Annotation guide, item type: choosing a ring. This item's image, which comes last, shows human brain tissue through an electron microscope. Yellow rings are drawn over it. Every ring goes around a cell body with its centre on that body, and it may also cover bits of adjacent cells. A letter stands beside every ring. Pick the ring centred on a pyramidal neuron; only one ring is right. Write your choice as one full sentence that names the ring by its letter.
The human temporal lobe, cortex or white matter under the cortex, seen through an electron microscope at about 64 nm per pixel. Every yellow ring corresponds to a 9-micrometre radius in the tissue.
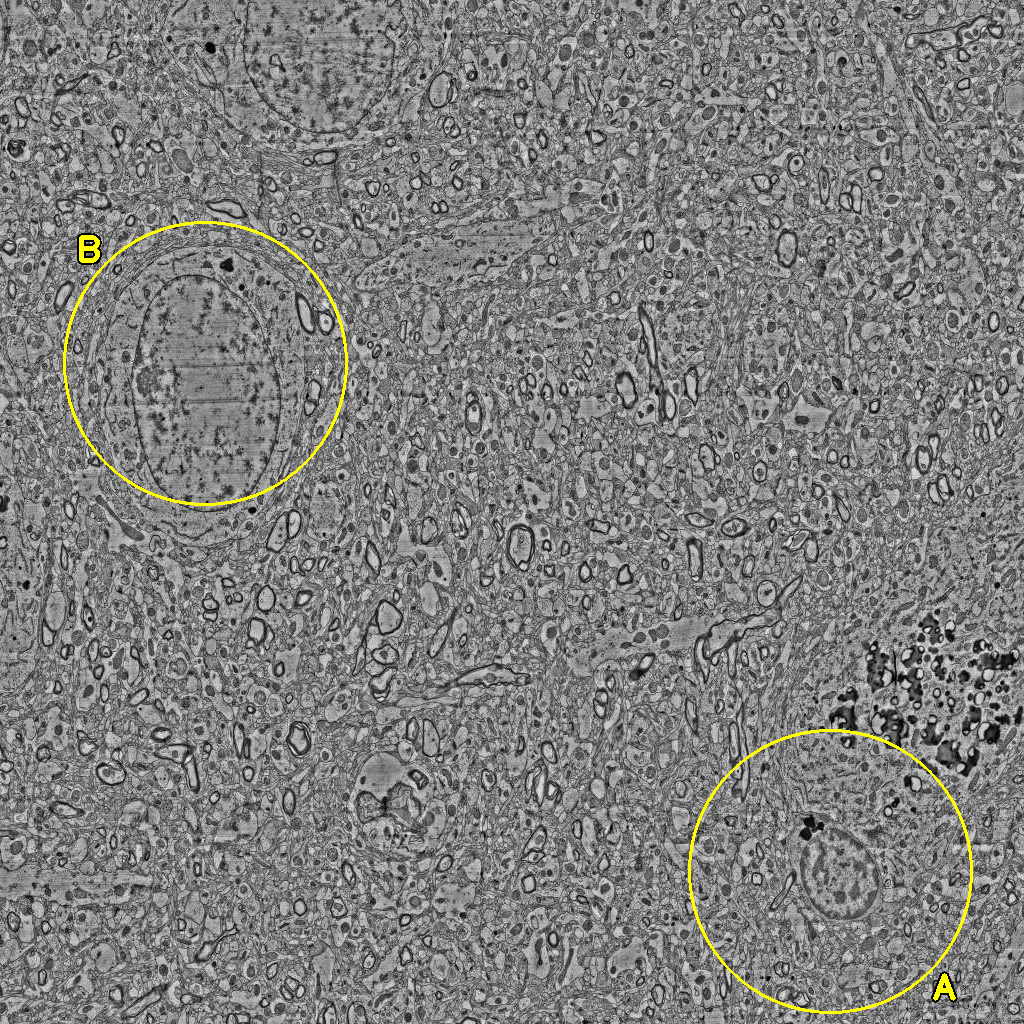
In the image, Ring B is centred on a cell of the kind requested.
